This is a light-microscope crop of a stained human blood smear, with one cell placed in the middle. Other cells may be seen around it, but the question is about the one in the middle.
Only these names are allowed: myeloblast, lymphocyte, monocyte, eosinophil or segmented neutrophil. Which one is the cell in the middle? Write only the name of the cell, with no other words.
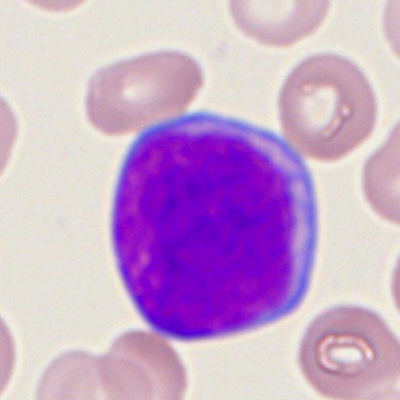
myeloblast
